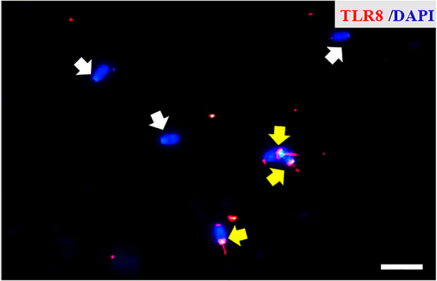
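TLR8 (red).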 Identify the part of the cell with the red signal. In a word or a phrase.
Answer: Connecting piece and midpiece of the sperm tail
